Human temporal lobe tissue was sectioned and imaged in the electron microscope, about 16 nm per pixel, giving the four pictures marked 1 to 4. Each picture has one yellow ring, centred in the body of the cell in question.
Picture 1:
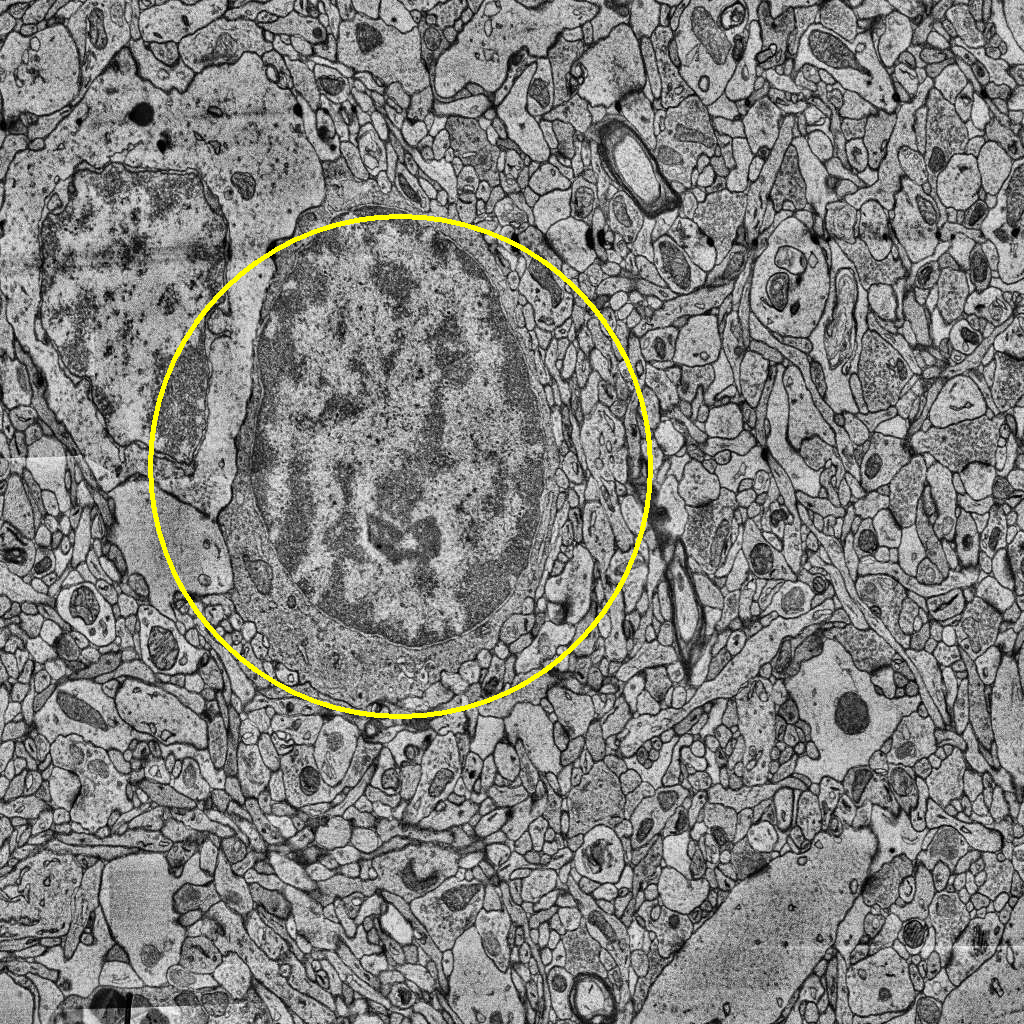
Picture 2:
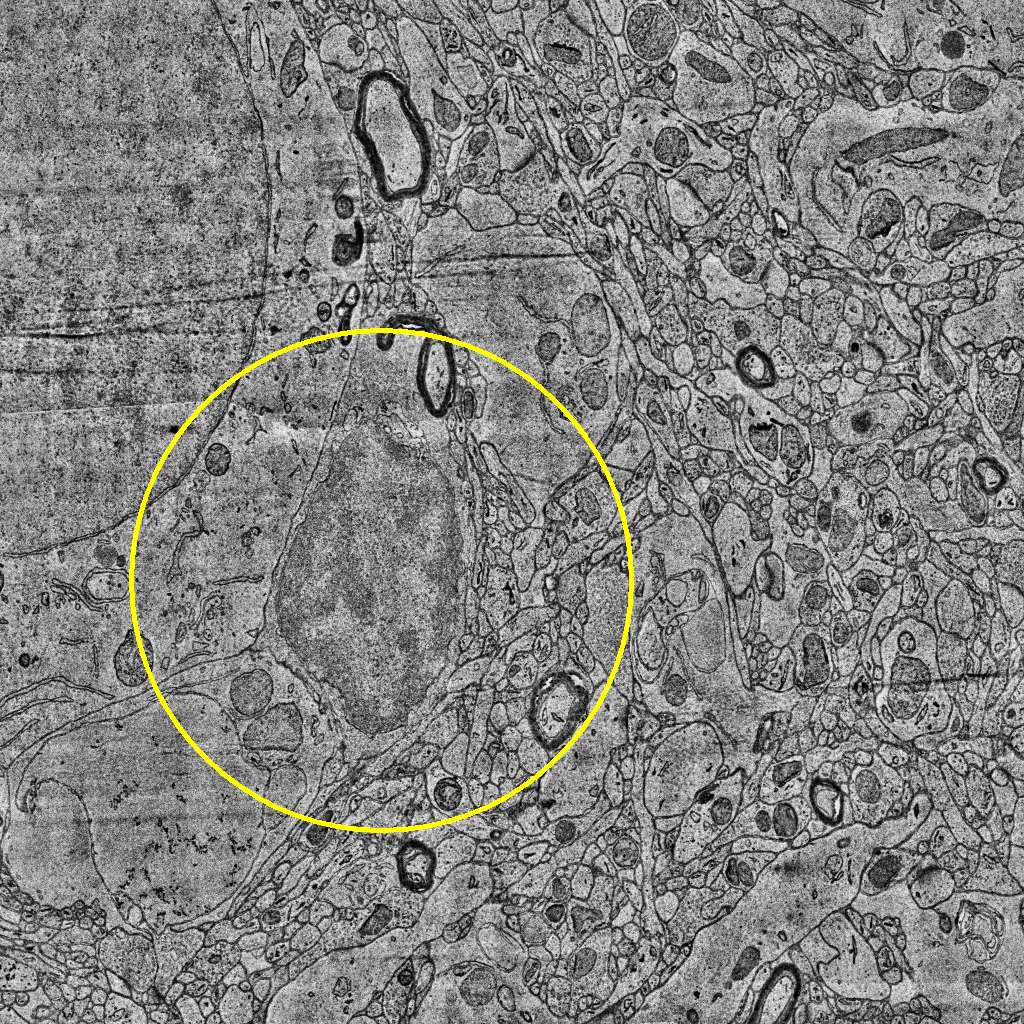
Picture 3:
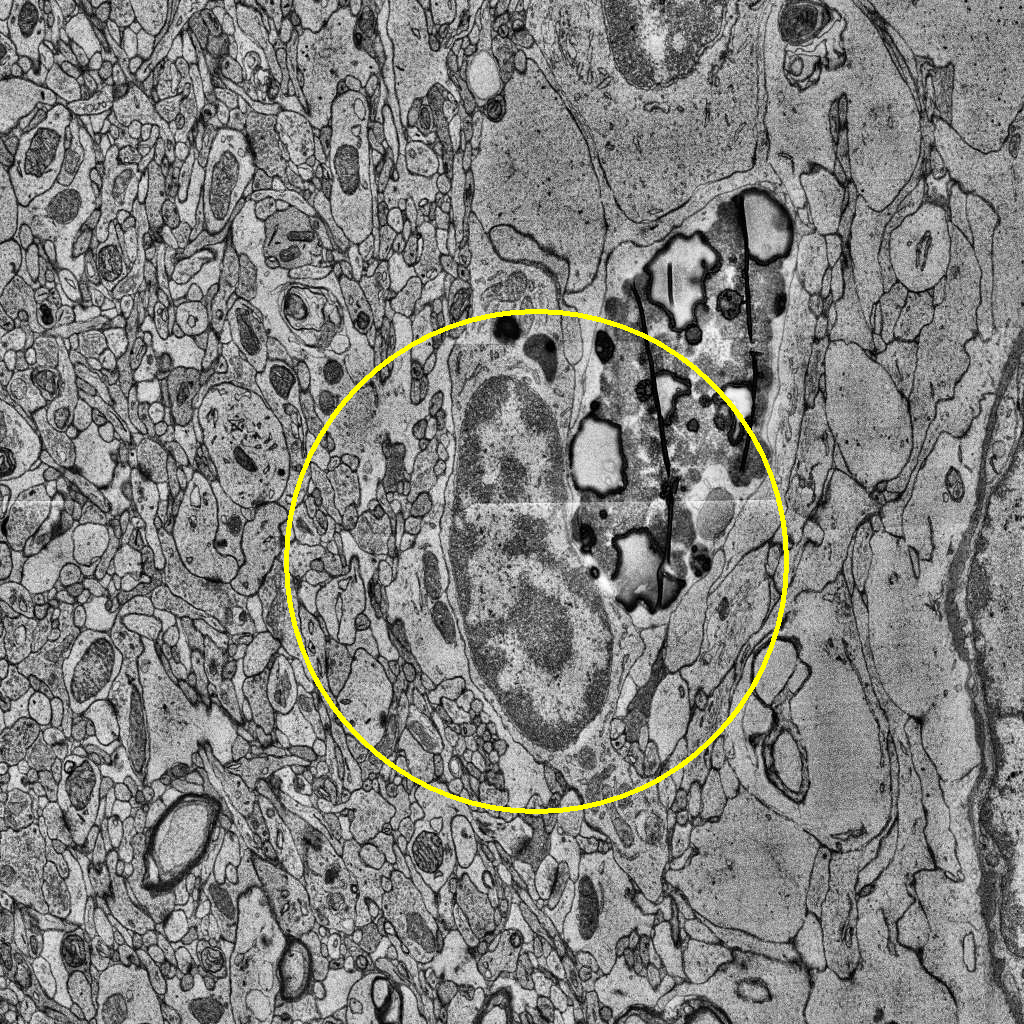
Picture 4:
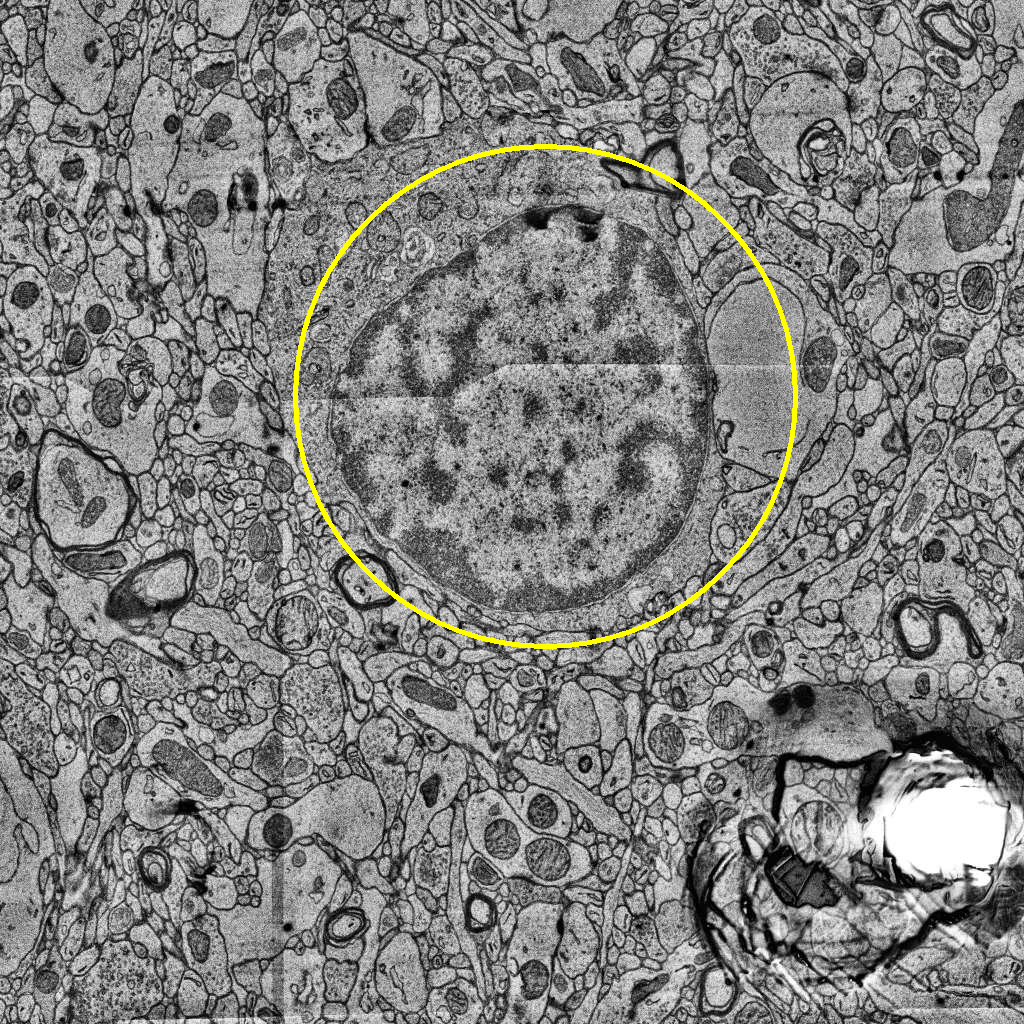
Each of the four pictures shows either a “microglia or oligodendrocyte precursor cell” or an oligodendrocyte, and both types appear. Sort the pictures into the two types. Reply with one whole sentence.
Picture 3 shows a “microglia or oligodendrocyte precursor cell”; pictures 1, 2 and 4 show oligodendrocytes.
